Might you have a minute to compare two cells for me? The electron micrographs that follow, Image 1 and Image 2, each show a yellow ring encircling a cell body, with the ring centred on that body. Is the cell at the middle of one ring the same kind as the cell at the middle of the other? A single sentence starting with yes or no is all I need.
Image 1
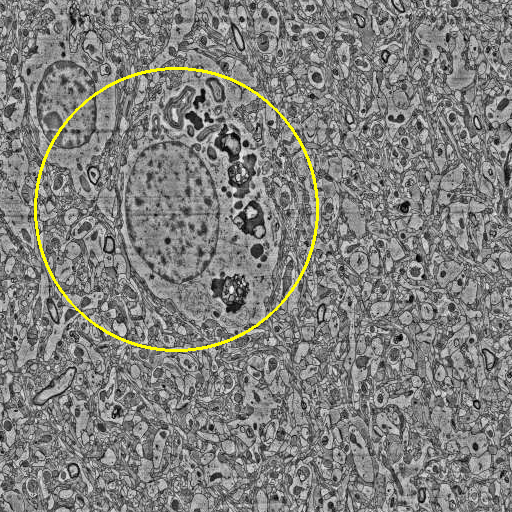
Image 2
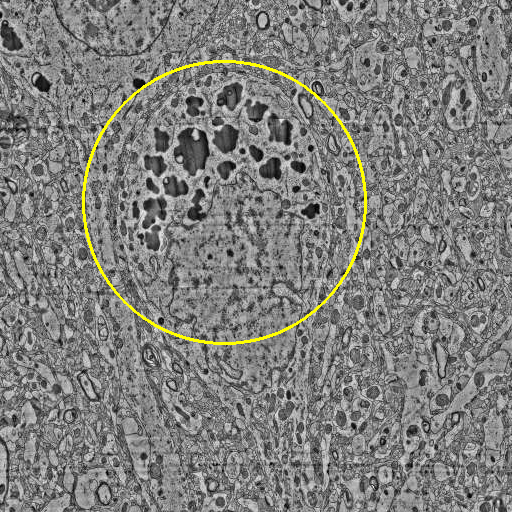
No, the cells in the middle of the two rings are of two separate kinds.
